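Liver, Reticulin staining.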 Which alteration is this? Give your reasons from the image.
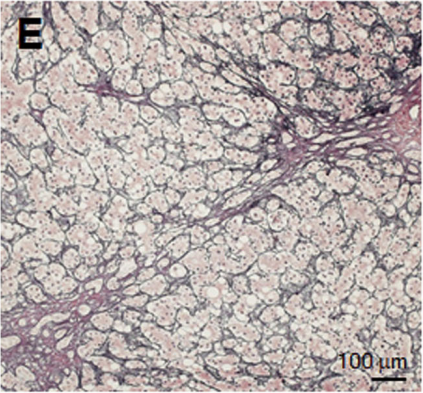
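Bridging fibrosis. Dark thick fibre bands run across the field linking denser fibrous areas. A fine black fibre network outlines the hepatocyte plates between the bands.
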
